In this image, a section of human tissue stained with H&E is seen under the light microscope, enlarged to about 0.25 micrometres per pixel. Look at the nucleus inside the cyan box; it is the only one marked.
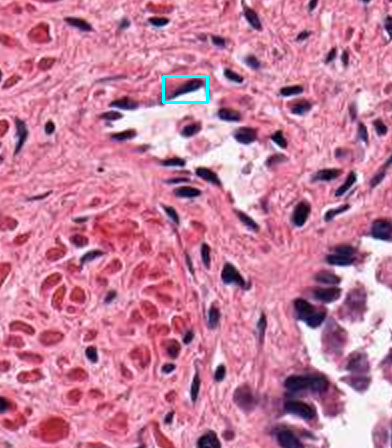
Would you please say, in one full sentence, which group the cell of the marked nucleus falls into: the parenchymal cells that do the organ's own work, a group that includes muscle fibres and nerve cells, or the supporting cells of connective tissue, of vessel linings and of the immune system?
The marked nucleus is that of a supporting cell.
